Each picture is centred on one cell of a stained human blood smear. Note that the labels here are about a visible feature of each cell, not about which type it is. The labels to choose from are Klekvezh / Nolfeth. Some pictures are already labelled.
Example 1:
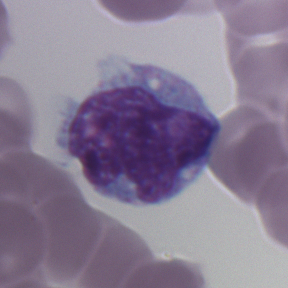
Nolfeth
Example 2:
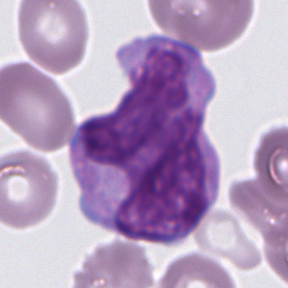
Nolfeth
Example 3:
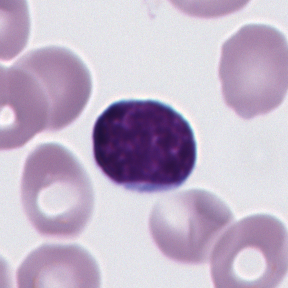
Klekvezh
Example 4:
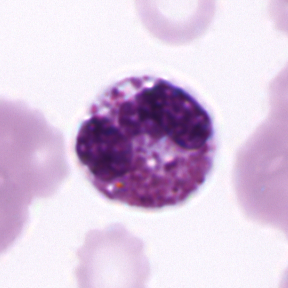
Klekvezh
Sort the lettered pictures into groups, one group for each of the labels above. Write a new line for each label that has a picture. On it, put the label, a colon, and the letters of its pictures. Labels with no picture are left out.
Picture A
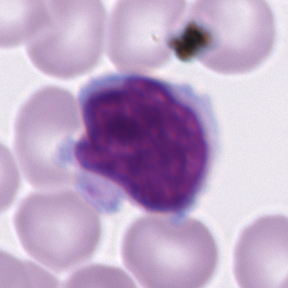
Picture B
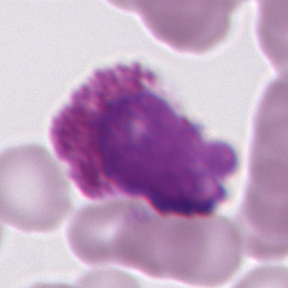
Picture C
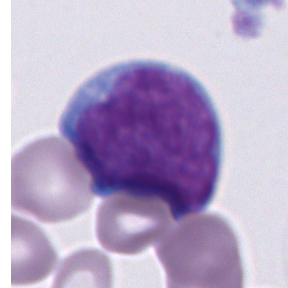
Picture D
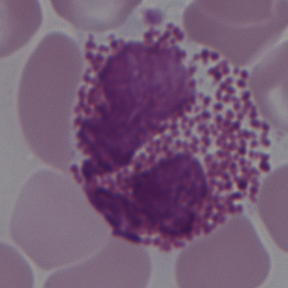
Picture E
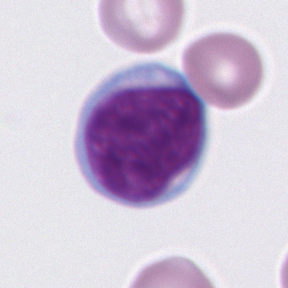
Klekvezh: C, E
Nolfeth: A, B, D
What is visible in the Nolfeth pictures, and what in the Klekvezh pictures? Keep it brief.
Seen in Nolfeth: ragged outline or projections; seen in Klekvezh: smooth outline.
